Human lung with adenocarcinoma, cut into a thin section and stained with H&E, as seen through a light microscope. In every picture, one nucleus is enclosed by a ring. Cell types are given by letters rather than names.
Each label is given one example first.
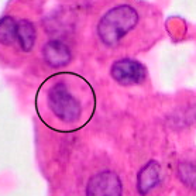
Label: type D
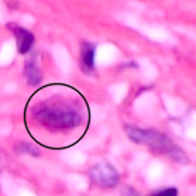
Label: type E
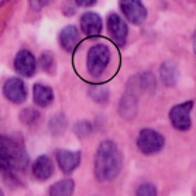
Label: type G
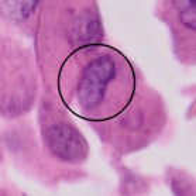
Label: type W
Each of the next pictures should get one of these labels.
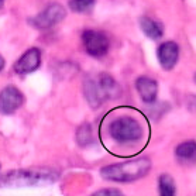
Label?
type G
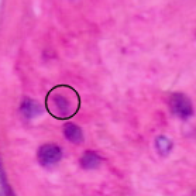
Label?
type E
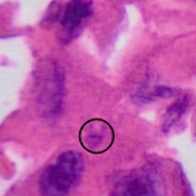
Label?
type W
